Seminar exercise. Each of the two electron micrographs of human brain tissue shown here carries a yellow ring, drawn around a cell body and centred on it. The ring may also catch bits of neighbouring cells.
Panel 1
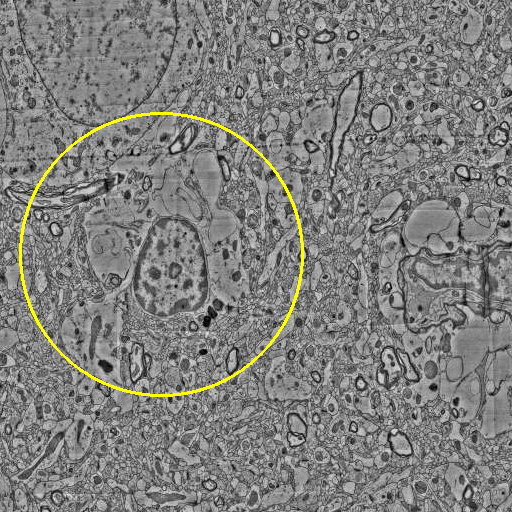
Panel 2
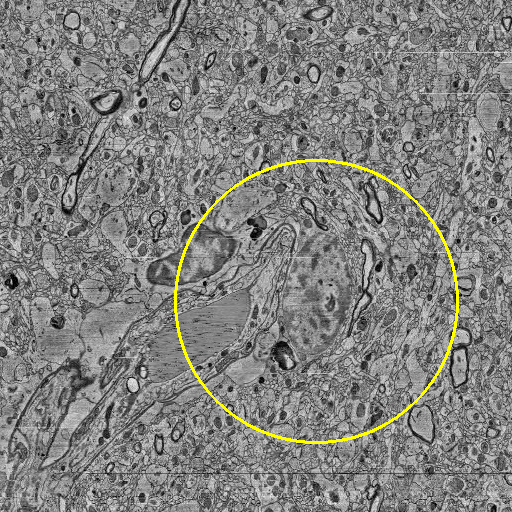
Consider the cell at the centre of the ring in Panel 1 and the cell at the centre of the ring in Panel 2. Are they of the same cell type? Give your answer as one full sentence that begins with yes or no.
No, the two cells are of two types.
